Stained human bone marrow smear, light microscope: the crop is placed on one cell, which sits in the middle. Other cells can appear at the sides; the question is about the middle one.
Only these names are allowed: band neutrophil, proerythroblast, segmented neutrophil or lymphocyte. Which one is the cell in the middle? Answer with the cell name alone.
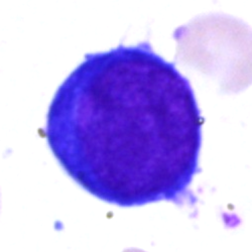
proerythroblast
